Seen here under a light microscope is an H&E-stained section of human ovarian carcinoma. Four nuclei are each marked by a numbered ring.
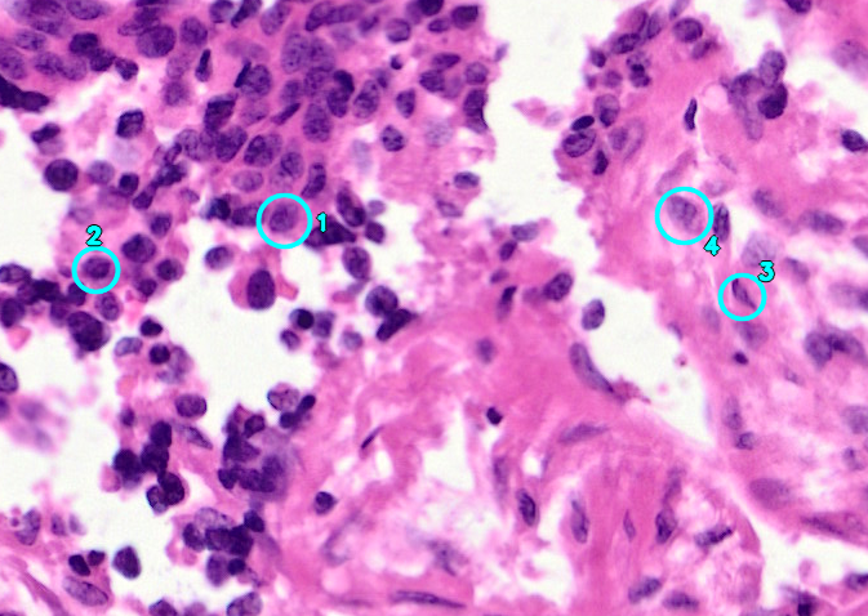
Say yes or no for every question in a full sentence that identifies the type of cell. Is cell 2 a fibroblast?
No, the cell referred to as 2 is a carcinoma cell, not a fibroblast.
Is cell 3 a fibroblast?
Yes, the cell at number 3 is a fibroblast.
